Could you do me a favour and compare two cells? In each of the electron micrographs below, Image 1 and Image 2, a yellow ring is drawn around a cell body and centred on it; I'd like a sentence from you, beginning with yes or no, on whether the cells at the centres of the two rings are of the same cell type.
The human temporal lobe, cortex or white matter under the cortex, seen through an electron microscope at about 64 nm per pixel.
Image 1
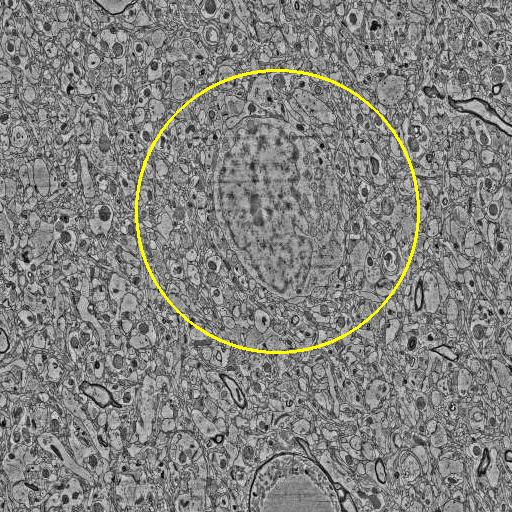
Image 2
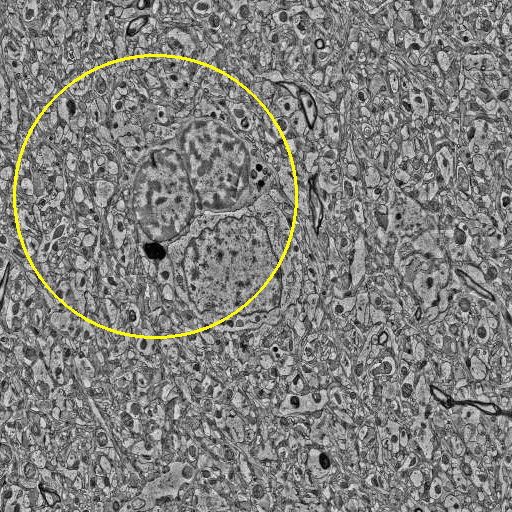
No, the two cells are of two cell types.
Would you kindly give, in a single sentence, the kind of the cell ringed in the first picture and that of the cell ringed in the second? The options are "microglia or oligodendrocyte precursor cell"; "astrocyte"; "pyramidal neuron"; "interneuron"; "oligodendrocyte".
The second cell is an oligodendrocyte, and the first cell is an interneuron.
